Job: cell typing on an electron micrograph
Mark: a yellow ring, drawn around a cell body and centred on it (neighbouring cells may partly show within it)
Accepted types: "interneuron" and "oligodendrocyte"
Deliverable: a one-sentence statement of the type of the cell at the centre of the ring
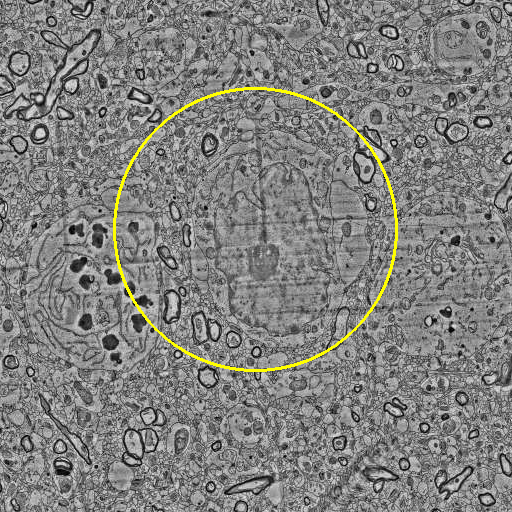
The centred cell body is that of an interneuron.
